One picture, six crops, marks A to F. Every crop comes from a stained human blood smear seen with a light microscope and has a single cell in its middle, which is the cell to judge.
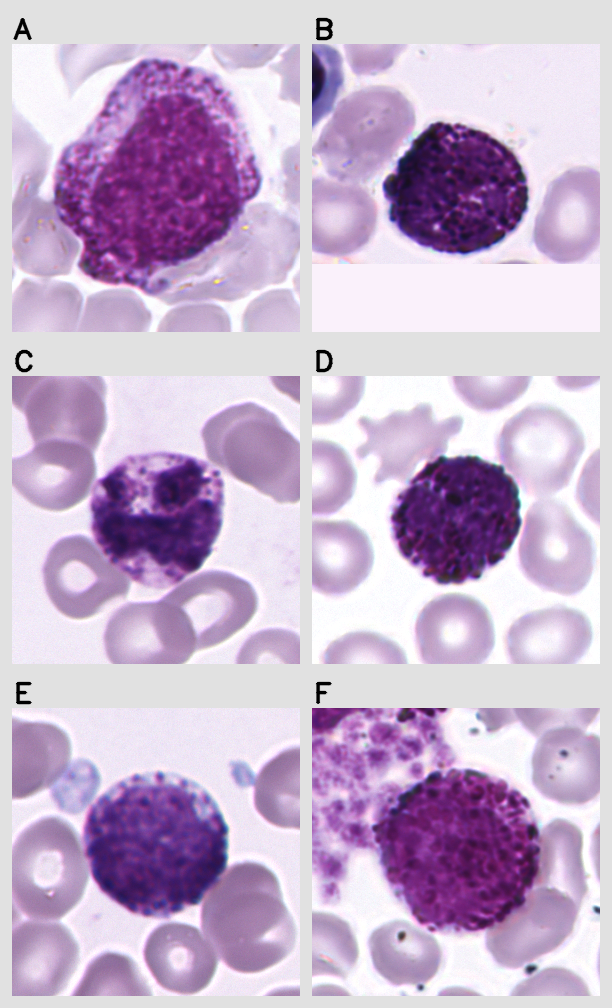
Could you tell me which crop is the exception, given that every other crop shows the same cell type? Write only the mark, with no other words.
A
